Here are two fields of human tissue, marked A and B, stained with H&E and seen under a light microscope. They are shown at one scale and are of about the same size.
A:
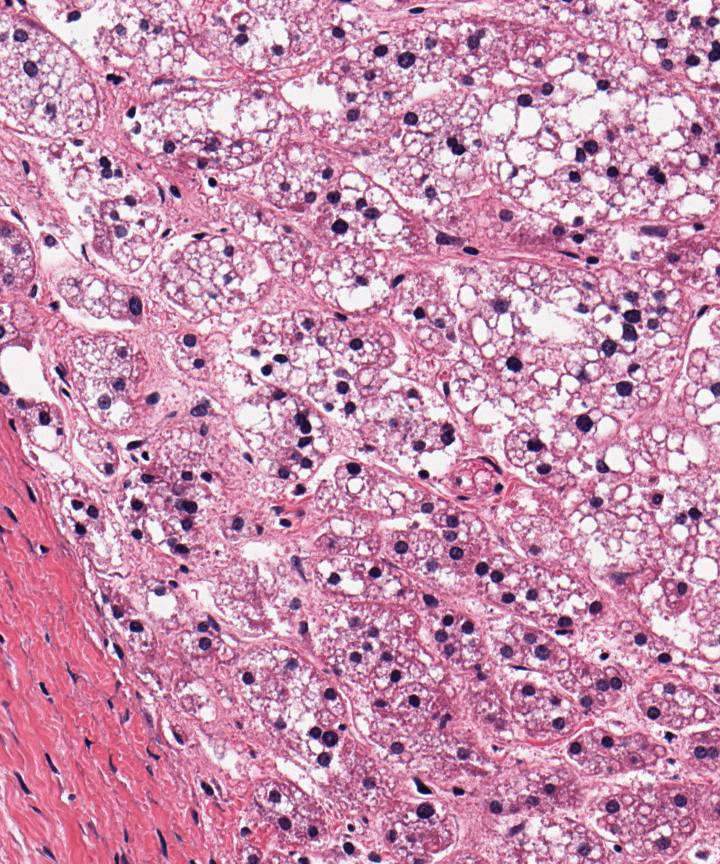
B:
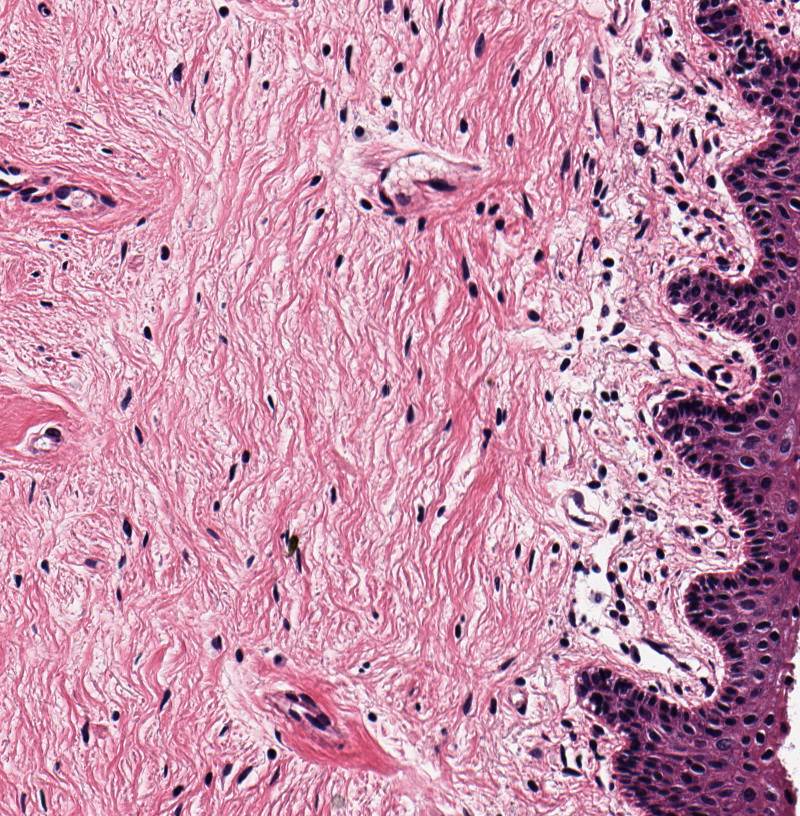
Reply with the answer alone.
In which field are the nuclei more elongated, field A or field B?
B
